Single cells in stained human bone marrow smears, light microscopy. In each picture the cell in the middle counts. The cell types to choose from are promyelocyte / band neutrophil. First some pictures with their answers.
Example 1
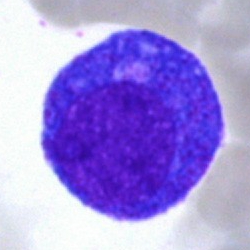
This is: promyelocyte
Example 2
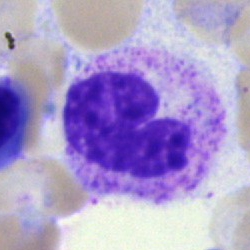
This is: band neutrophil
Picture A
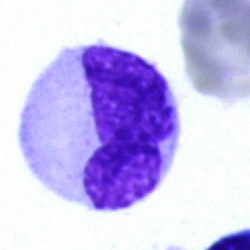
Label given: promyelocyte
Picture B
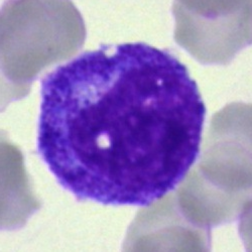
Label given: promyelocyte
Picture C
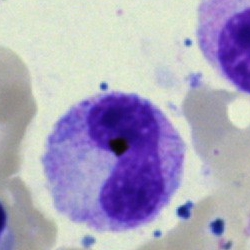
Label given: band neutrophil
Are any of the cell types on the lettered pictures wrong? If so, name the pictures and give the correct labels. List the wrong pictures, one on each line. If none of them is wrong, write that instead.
A is labelled promyelocyte; correct label: band neutrophil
